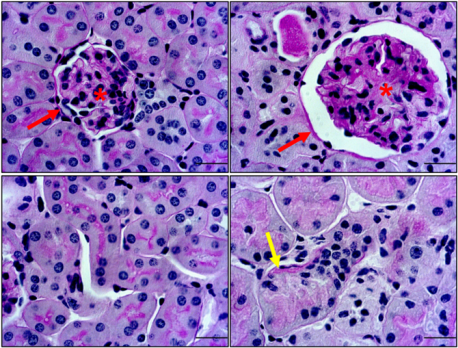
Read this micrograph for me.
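These are sections of renal cortex showing glomeruli surrounded by Bowman's capsule, with tubules in cross-section, their basement membranes and brush borders stained magenta and their cytoplasm pale pink. In the upper row each glomerulus is a rounded tuft of capillary loops packed with dark nuclei; the tuft in the right image is larger and more crowded with nuclei, and a wide clear urinary space separates it from the thin capsule.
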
